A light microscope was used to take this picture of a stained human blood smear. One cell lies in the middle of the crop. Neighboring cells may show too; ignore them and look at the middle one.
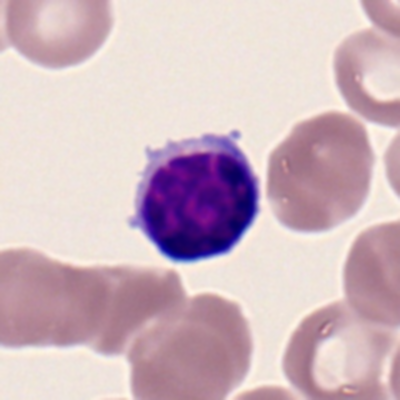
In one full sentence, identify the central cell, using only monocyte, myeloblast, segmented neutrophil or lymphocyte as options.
The cell centered in this field of view is a lymphocyte.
